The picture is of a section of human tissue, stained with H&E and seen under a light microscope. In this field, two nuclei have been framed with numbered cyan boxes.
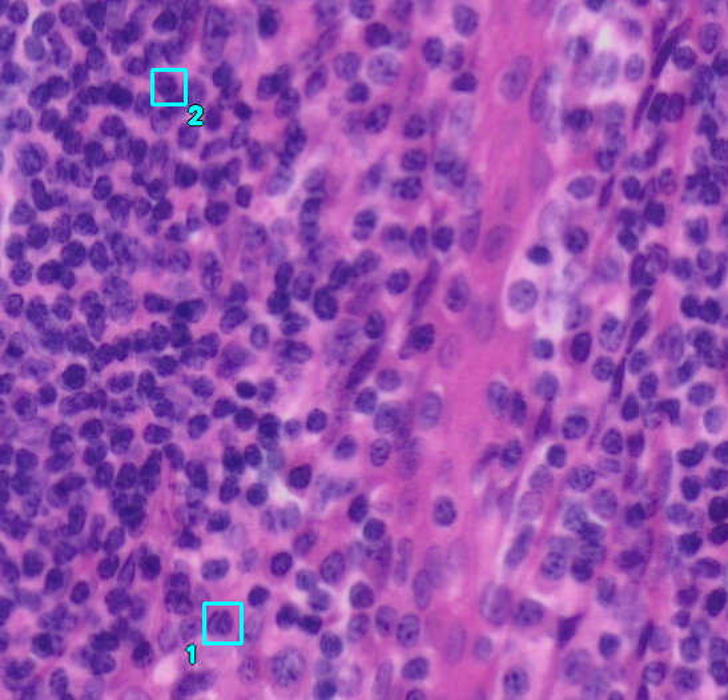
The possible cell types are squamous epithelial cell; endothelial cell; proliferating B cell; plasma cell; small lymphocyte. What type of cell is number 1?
plasma cell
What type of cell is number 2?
small lymphocyte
